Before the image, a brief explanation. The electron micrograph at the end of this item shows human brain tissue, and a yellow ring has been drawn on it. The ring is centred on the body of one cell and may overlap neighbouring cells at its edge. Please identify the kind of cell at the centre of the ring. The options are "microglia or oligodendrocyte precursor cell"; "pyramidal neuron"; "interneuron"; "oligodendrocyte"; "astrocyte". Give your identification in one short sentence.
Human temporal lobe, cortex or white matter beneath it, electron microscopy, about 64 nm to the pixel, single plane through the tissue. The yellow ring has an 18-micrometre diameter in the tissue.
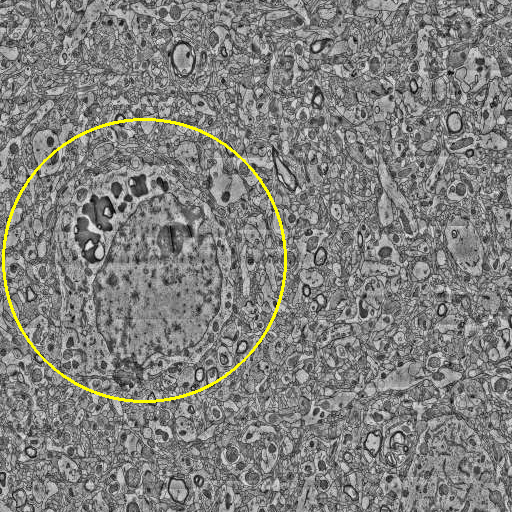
The ring has been placed around an interneuron.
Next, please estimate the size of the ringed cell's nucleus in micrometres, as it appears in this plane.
The nucleus has a long axis of about 10 micrometres and a short axis of about 8 micrometres in this plane.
